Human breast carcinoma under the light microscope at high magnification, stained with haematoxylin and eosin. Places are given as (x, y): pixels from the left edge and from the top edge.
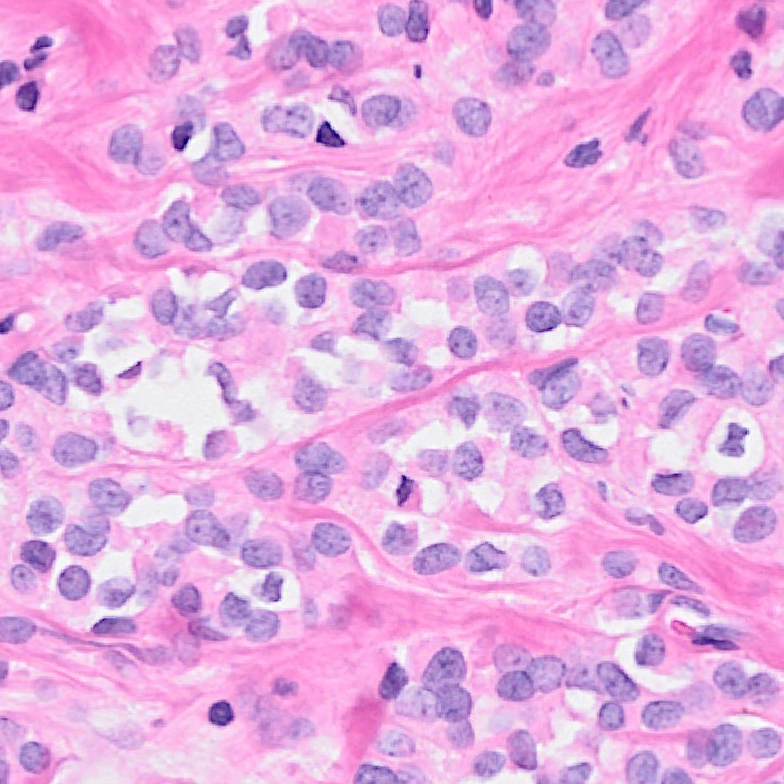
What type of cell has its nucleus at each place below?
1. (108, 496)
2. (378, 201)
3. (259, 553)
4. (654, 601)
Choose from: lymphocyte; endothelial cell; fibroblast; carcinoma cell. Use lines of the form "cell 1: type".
cell 1: carcinoma cell
cell 2: carcinoma cell
cell 3: carcinoma cell
cell 4: endothelial cell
